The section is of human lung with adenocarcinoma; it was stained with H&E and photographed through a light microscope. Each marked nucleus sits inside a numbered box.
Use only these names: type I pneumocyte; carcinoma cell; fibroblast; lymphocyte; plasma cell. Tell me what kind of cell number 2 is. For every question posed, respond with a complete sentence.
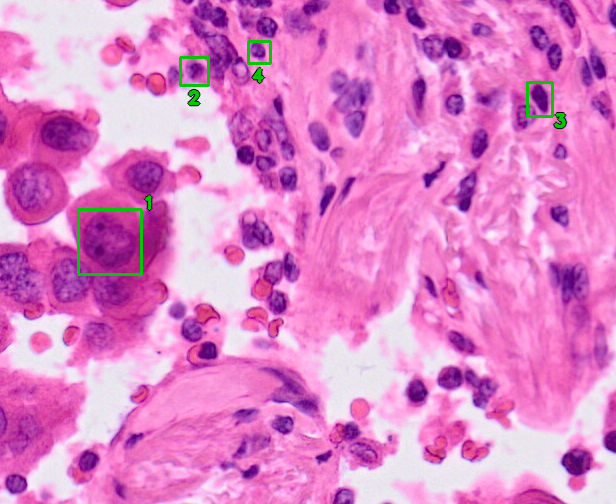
Cell 2, as marked in the section, is a lymphocyte.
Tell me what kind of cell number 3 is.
It is as a plasma cell that the cell numbered 3 is identified.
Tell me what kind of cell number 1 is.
The nucleus labelled 1 belongs to a carcinoma cell.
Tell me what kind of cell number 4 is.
In this section, number 4 marks a lymphocyte.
